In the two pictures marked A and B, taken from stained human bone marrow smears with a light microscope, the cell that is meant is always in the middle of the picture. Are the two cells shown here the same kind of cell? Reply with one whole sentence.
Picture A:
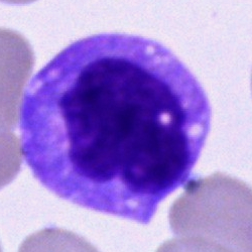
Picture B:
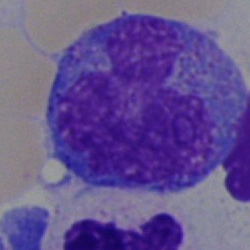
Yes, both are monocytes.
